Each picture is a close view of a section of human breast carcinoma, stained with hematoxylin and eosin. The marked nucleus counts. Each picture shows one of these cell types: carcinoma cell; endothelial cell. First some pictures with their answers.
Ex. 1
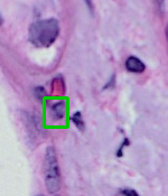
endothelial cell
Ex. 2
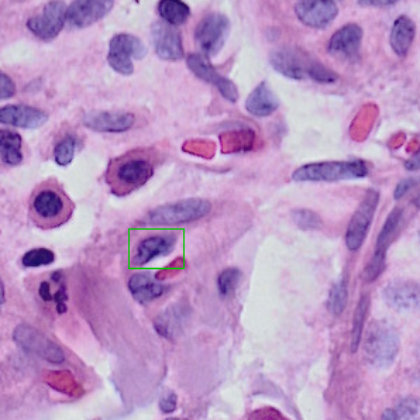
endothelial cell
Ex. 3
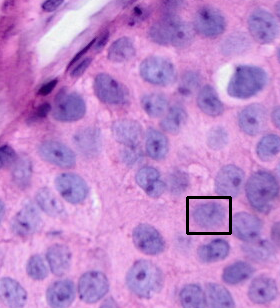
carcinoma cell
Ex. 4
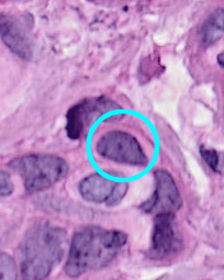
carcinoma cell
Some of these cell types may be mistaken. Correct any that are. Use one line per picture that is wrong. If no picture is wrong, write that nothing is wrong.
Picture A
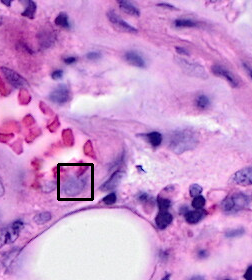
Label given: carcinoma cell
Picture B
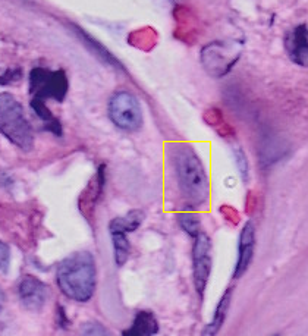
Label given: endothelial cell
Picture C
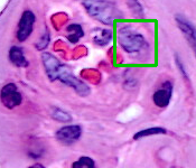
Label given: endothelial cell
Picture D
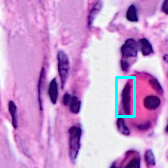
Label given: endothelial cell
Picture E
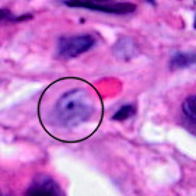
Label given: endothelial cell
Wrong: A (carcinoma cell); correct: endothelial cell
